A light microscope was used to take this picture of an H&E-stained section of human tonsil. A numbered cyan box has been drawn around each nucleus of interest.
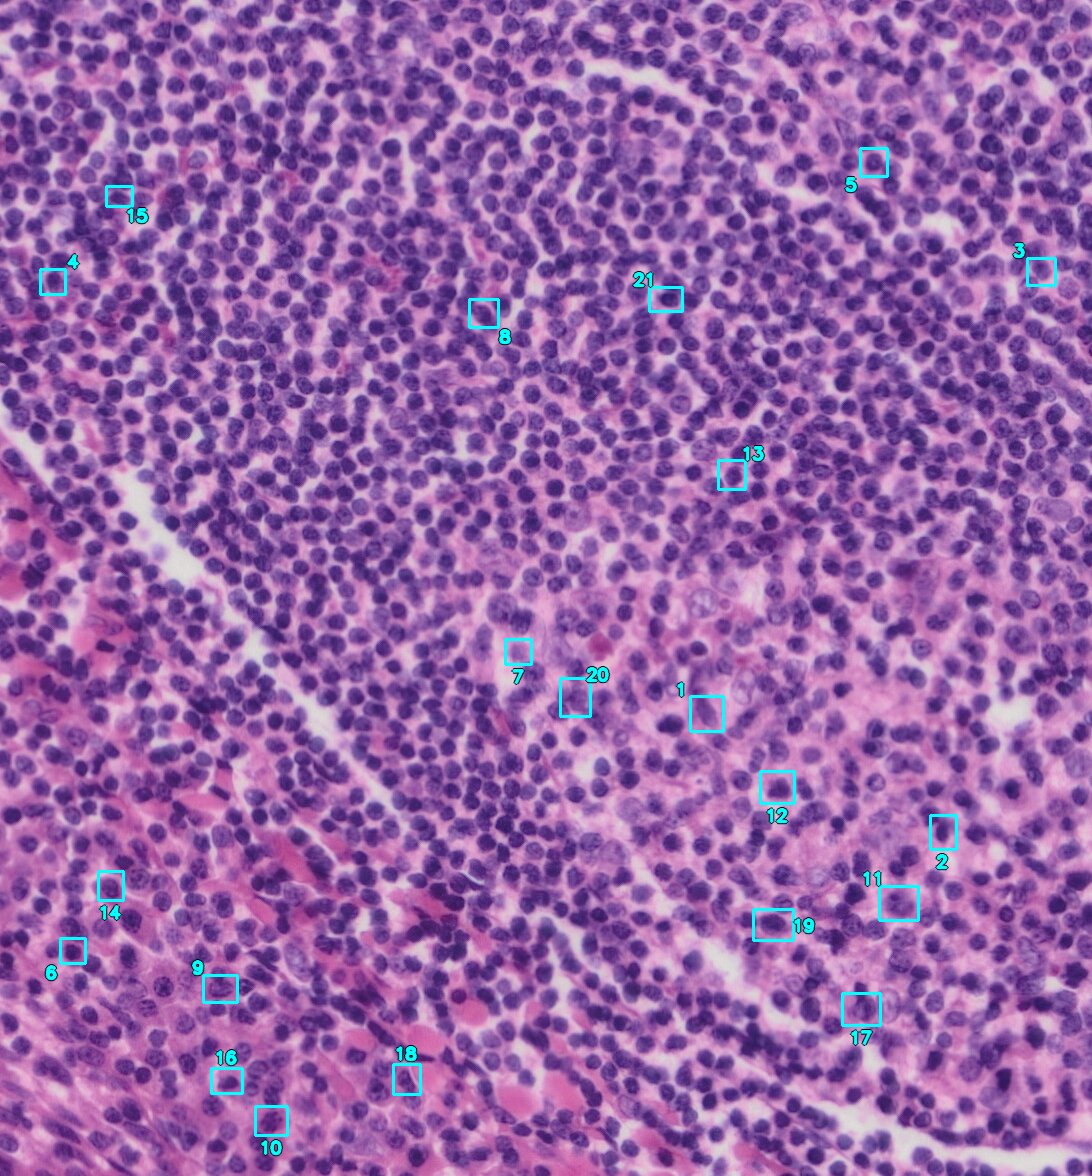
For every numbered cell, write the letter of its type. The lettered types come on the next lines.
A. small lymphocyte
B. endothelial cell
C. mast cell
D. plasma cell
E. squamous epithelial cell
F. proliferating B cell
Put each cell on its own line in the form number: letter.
1: F
2: F
3: A
4: A
5: A
6: D
7: F
8: A
9: D
10: D
11: F
12: F
13: A
14: D
15: A
16: D
17: F
18: D
19: F
20: F
21: A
